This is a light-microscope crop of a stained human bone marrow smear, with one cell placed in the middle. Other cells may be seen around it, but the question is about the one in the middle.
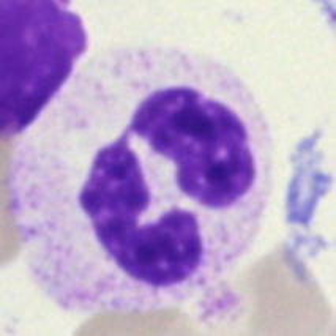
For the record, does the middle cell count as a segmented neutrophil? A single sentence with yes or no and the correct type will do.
Yes, the cell in the centre is a segmented neutrophil.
